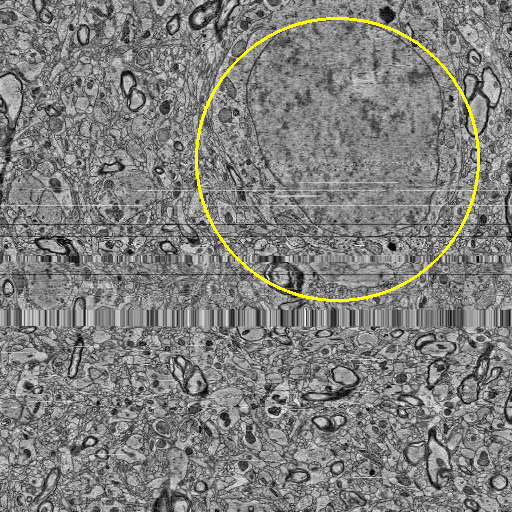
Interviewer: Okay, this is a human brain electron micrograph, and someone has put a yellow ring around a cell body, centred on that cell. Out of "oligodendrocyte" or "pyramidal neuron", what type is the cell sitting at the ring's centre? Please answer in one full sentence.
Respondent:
The cell at the centre of the yellow ring in this picture is a pyramidal neuron.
